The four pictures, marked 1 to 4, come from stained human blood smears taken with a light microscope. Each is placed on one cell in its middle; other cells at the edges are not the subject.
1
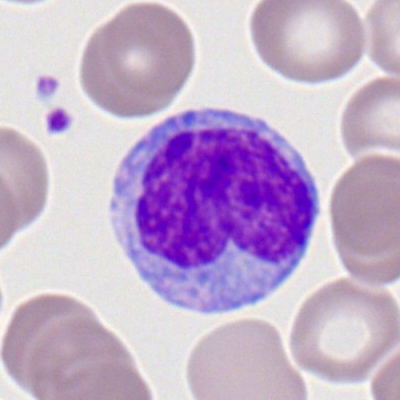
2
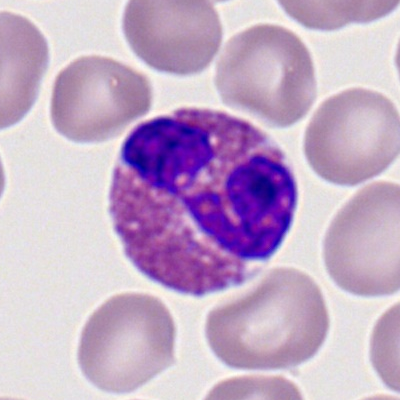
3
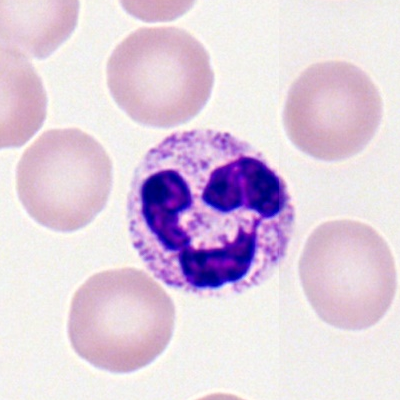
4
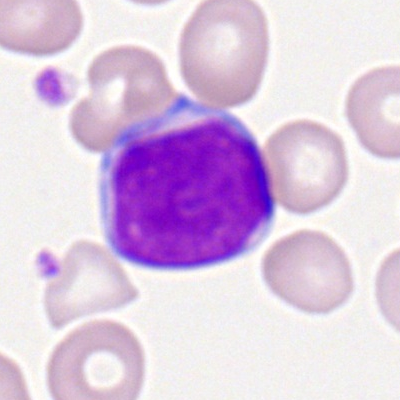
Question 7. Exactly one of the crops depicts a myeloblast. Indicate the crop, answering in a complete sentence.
Within this set, crop 4 is the one with a myeloblast at its center.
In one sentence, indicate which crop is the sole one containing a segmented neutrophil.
Crop 3, and no other, is the one that shows a segmented neutrophil.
